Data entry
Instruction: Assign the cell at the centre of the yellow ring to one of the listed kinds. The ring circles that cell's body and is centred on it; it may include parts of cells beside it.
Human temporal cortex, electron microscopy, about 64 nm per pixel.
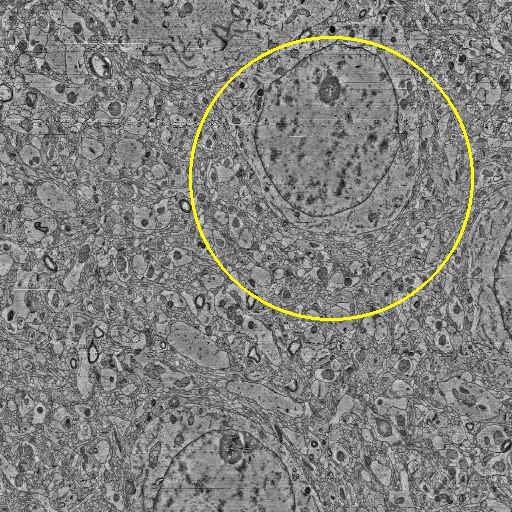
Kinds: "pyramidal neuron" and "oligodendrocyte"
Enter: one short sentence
The centre of the ring falls on a pyramidal neuron.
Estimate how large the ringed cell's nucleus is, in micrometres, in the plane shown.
Approximately 12 by 10 micrometers in this plane.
